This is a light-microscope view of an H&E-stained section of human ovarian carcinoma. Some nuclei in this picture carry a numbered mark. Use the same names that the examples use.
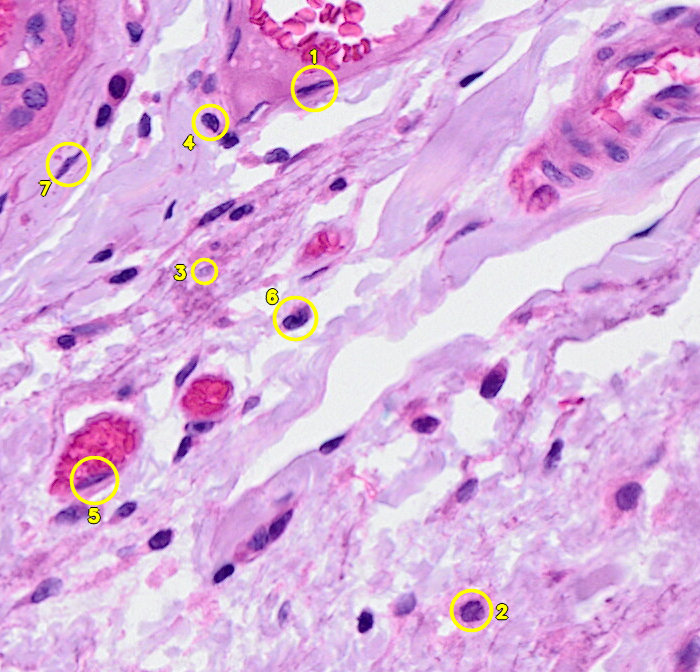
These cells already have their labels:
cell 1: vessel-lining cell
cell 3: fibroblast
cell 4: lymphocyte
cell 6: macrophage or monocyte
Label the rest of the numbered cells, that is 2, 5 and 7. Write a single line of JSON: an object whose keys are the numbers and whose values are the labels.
{"2": "macrophage or monocyte", "5": "vessel-lining cell", "7": "fibroblast"}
